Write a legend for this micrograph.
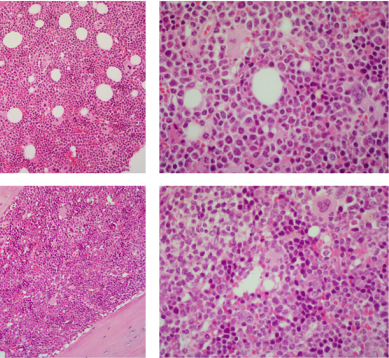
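These are sections of bone marrow in which dense hematopoietic tissue fills the space between pink-stained bone. The marrow is crowded with small round cells whose nuclei stain dark purple, with pink cytoplasm and red blood cells scattered between them. Round, clear empty spaces of fat cells are dotted through the tissue. At the higher magnification individual nuclei can be told apart, many small, round and densely stained, lying in tight groups.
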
